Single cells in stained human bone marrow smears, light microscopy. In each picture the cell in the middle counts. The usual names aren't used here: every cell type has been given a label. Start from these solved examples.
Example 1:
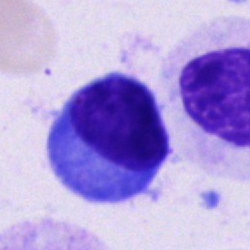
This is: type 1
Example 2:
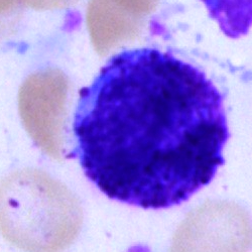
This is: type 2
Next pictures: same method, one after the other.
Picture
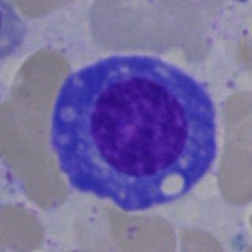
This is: type 1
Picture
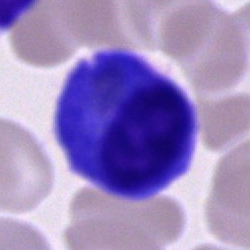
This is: type 1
